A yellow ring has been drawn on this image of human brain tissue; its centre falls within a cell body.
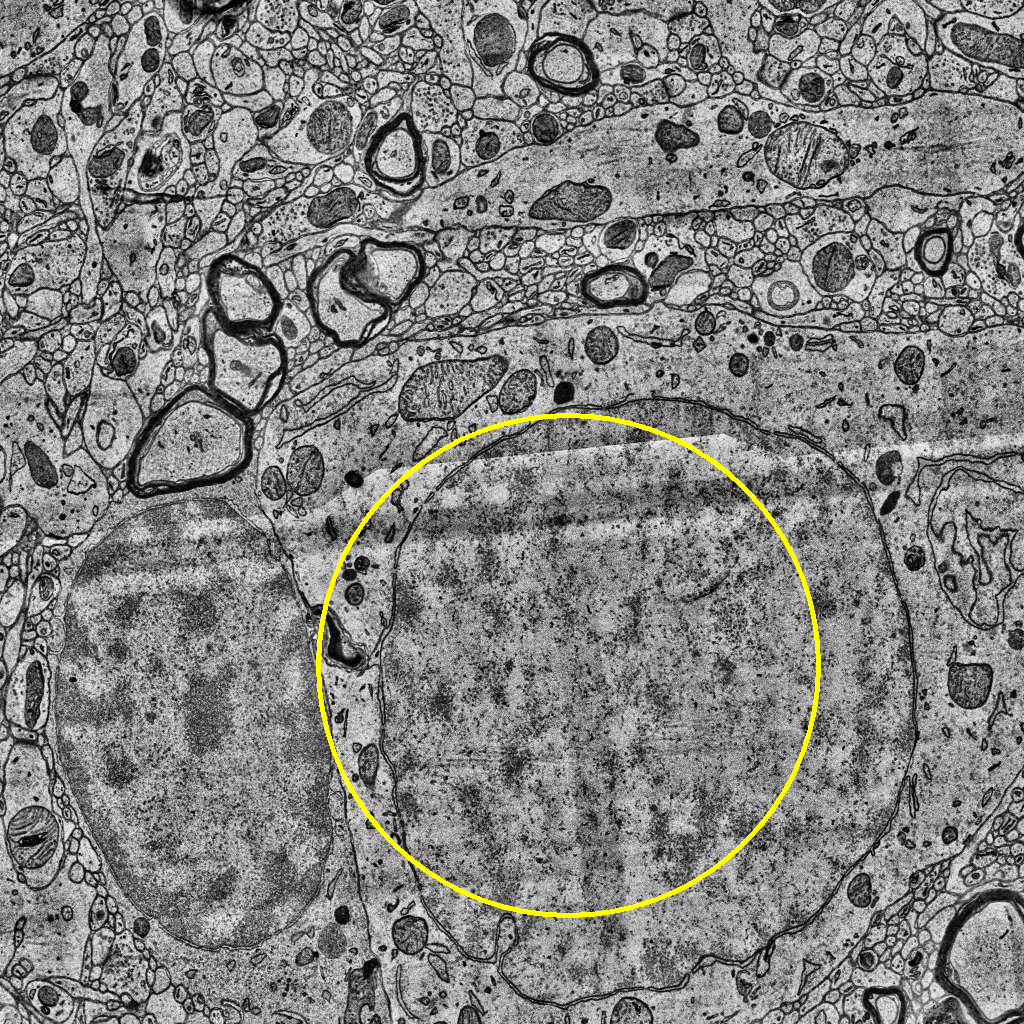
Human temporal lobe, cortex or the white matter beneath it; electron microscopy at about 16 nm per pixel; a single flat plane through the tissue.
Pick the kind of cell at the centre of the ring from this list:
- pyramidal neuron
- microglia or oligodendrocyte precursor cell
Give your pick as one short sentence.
The centre of the ring holds a pyramidal neuron.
